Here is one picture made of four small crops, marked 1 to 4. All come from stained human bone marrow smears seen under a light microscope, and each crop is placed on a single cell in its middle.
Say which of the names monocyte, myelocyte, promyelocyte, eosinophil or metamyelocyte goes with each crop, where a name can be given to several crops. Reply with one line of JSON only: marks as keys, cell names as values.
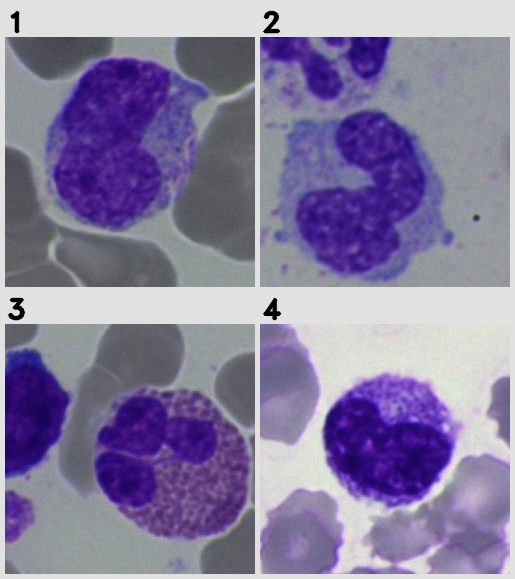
{"1": "monocyte", "2": "monocyte", "3": "eosinophil", "4": "metamyelocyte"}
